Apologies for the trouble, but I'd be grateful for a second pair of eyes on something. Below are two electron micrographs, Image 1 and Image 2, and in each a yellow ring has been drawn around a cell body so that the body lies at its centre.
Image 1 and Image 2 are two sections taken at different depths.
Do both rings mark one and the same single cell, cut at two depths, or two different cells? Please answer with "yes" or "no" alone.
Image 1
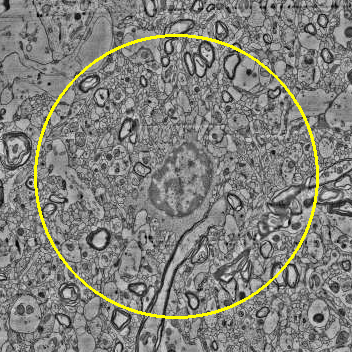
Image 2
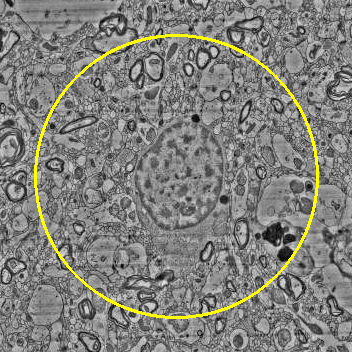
yes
